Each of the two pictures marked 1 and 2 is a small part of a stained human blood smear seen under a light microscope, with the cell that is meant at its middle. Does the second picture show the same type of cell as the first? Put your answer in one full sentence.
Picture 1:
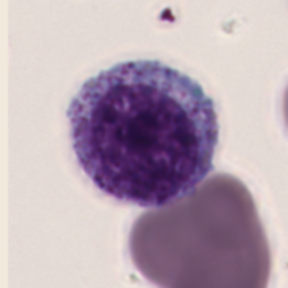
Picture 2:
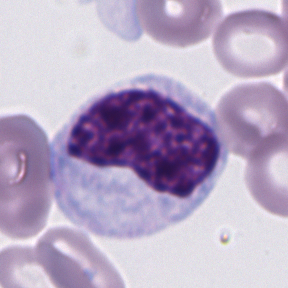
No. Picture 1 shows a myelocyte, but picture 2 shows a metamyelocyte.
